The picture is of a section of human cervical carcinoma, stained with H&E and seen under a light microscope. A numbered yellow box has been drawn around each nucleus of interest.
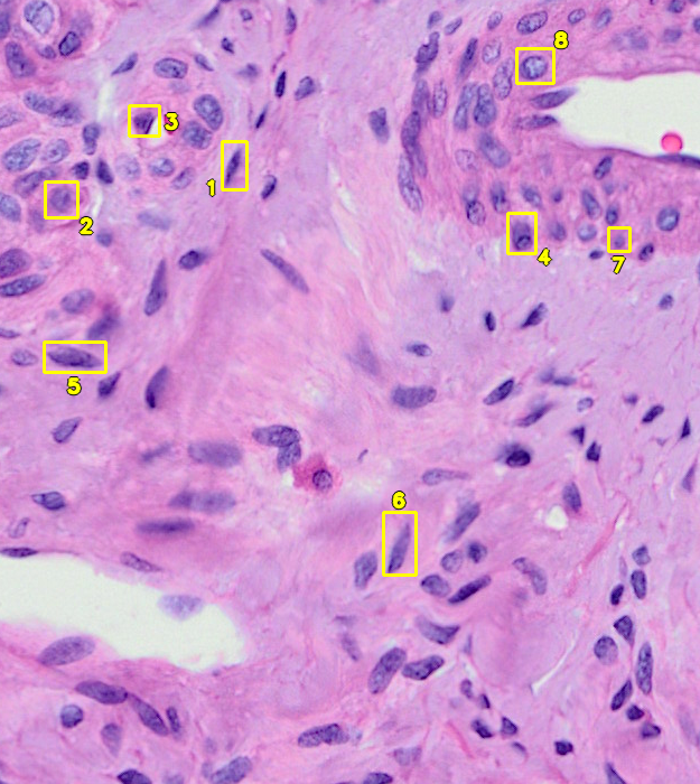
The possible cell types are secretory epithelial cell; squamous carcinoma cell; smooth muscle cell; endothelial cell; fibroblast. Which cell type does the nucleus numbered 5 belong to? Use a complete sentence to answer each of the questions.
Identified by the number 5, the cell is a fibroblast.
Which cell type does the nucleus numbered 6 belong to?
The cell identified by the number 6 is a fibroblast.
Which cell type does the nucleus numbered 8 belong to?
The cell that carries the label 8 is a smooth muscle cell.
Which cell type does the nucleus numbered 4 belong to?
The cell that goes by number 4 is a smooth muscle cell.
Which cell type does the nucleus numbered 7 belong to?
Identified by the number 7, the cell is a smooth muscle cell.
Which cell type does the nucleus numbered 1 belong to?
The cell indicated with the number 1 is classed as a fibroblast.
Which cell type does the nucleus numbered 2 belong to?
The label 2 in this section denotes a smooth muscle cell.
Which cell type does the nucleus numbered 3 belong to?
The cell that is numbered 3 is an endothelial cell.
